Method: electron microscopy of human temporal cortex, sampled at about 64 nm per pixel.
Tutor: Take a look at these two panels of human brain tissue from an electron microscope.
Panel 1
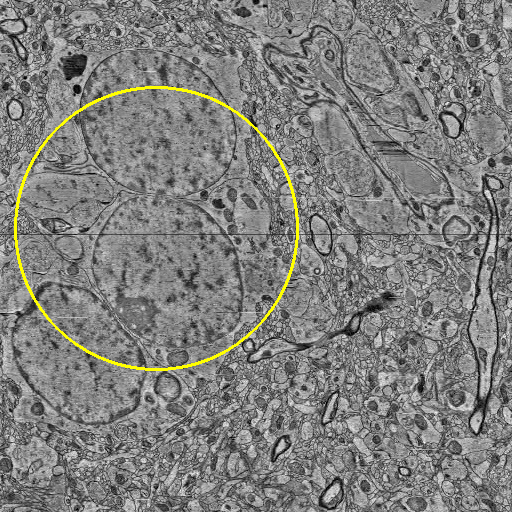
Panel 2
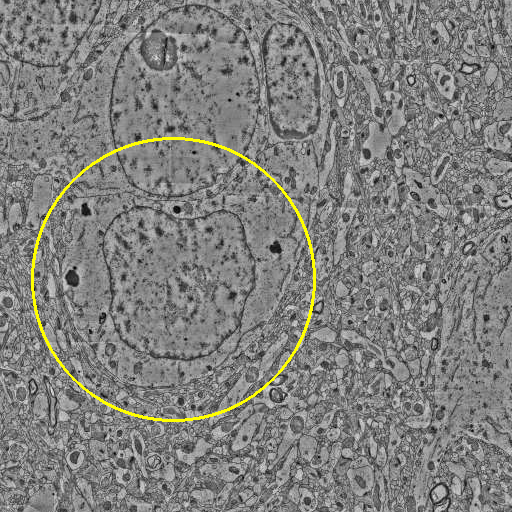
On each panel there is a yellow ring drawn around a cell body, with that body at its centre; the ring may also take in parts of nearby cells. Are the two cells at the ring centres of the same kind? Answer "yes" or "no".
no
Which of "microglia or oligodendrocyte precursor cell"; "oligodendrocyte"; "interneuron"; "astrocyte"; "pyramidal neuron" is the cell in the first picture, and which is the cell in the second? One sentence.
The two differ: the first cell is an astrocyte and the second is a pyramidal neuron.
